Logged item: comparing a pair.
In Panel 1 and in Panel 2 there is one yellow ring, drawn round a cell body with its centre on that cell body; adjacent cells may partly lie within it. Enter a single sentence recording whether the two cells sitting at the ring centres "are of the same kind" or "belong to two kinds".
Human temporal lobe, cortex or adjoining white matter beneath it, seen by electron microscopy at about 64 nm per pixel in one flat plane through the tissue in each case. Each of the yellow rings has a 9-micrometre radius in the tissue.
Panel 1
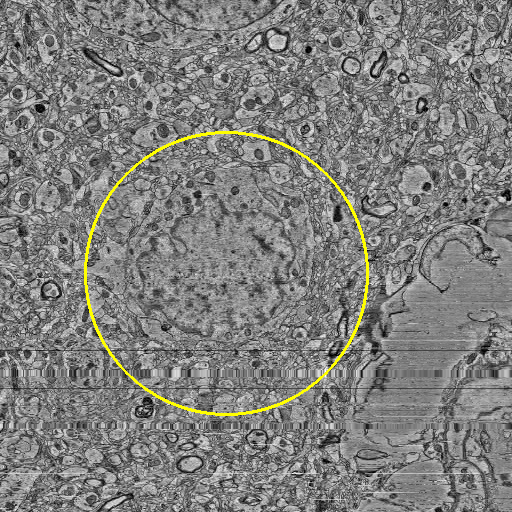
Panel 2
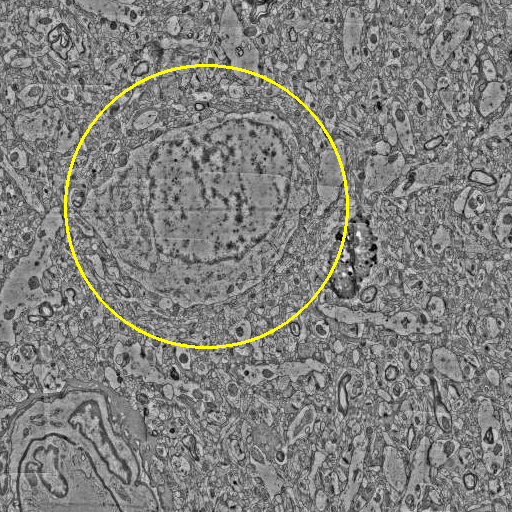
Logged: the cells centred in the rings of Panel 1 and Panel 2 are of the same kind.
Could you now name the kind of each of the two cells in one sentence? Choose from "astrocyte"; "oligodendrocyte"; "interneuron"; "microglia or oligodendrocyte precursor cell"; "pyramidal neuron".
In both pictures the ring is centred on an interneuron.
